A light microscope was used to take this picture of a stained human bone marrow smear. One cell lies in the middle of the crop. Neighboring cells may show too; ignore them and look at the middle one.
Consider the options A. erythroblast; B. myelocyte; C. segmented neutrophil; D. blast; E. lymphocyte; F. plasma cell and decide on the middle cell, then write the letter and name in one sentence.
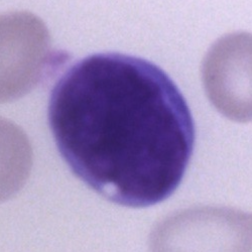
According to option D, which is correct, the cell in the middle is a blast.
